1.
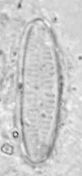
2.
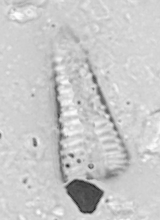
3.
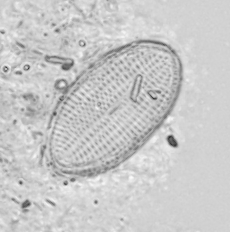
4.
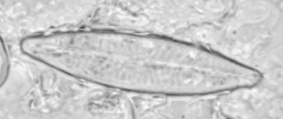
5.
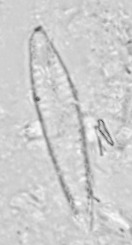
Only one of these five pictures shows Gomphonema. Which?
Picture 5.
